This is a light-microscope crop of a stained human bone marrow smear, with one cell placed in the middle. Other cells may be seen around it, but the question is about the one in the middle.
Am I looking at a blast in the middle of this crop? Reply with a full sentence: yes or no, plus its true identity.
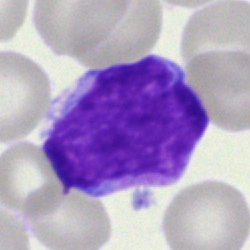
Yes, the crop is centred on a blast.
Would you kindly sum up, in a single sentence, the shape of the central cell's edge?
The cell shows an uneven border, formed by ragged areas or by outward projections.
